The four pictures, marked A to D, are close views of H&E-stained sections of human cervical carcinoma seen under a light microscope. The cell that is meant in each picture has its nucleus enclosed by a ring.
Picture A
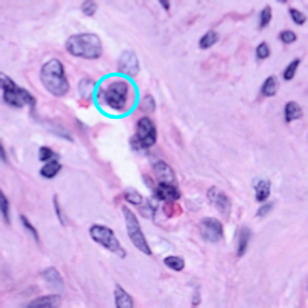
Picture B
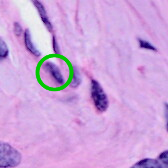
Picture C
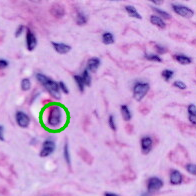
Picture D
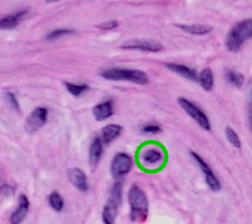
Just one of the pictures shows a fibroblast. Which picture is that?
D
